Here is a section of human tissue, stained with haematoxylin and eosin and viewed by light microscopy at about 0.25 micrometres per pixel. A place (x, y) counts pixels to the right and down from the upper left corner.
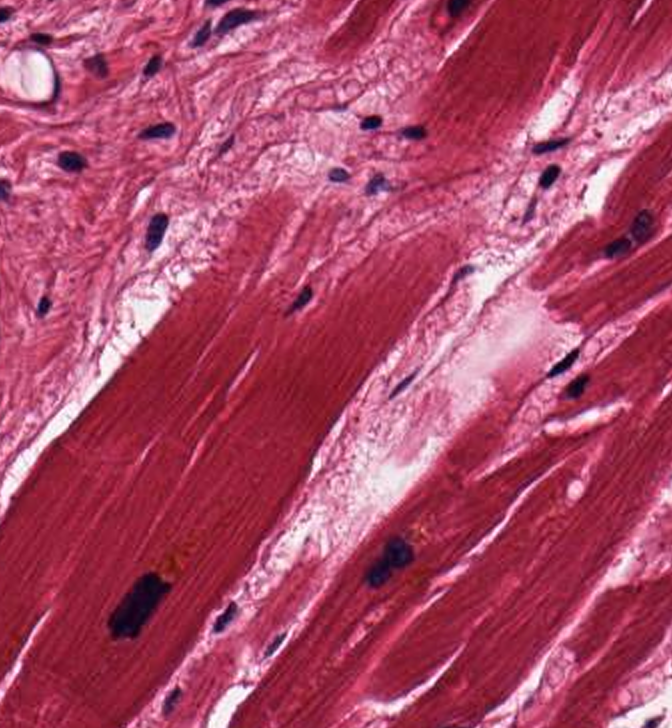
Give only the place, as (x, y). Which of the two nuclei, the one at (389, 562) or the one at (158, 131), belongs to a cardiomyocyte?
(389, 562)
